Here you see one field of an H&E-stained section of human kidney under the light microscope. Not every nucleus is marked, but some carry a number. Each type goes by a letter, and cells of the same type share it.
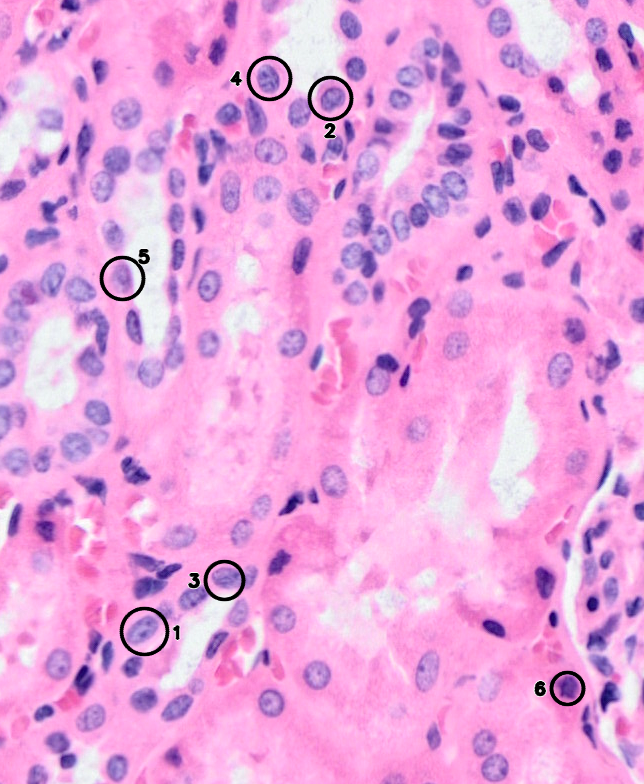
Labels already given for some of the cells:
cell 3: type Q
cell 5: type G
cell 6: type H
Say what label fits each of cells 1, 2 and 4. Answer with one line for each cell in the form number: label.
1: type Q
2: type G
4: type G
